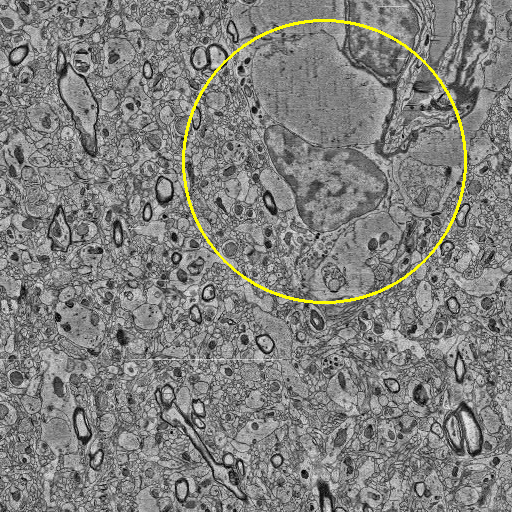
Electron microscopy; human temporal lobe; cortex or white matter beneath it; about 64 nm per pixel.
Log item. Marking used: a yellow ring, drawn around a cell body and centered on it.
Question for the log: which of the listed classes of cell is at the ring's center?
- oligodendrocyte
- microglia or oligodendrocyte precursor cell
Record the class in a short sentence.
At the center of the ring lies a microglial cell or oligodendrocyte precursor cell.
